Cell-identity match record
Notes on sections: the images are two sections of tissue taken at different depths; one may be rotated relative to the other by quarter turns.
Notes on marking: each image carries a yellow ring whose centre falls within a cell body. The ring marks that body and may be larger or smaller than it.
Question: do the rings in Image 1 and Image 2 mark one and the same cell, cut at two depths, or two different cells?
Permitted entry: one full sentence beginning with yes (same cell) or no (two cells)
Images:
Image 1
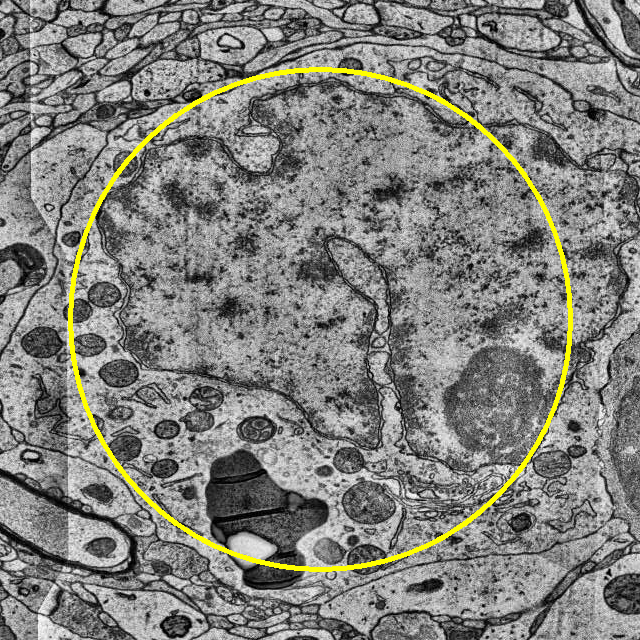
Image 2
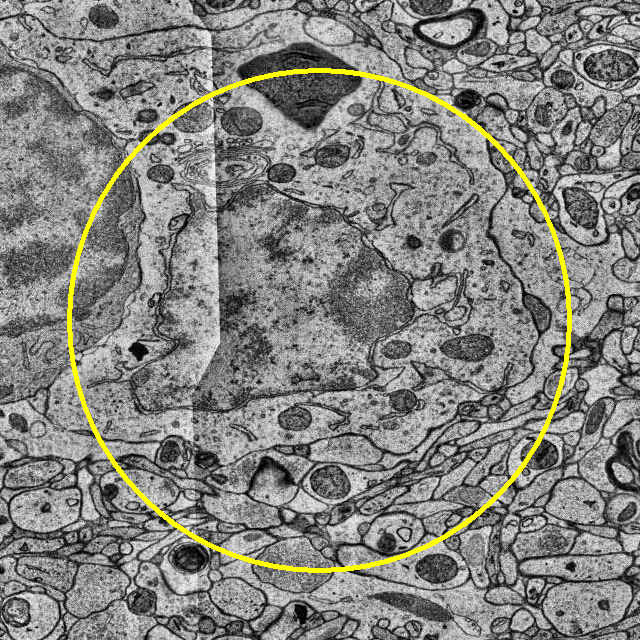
Yes, the two rings refer to one cell in the tissue.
